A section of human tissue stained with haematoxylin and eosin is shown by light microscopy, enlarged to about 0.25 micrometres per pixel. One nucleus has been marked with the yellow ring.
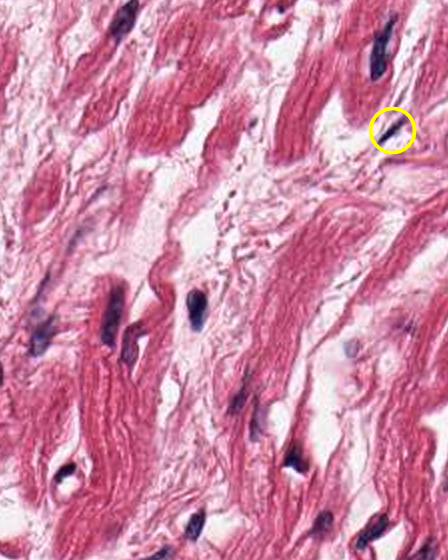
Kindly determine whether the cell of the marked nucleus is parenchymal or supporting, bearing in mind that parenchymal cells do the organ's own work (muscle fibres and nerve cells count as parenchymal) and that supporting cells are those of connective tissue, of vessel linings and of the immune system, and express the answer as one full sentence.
The cell that the marked nucleus belongs to is a supporting cell.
